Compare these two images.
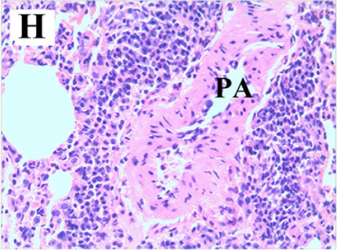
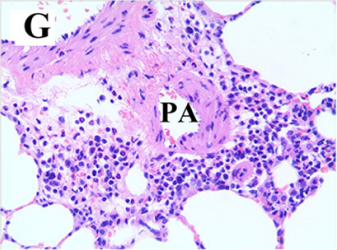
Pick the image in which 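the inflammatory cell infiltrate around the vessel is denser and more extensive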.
The first image.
